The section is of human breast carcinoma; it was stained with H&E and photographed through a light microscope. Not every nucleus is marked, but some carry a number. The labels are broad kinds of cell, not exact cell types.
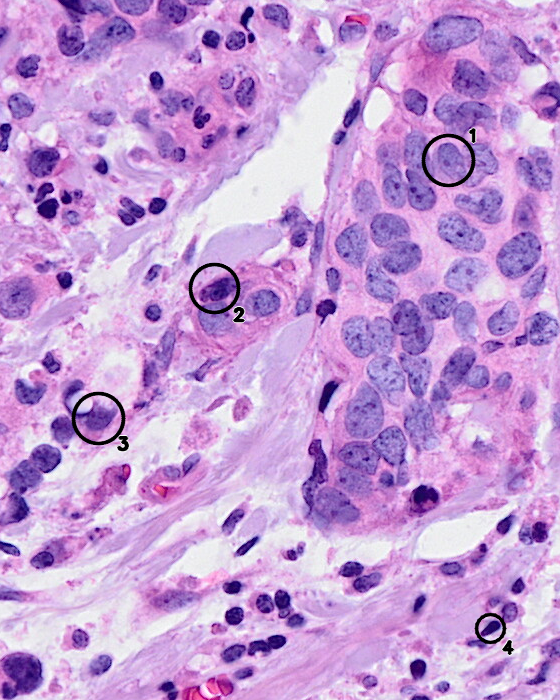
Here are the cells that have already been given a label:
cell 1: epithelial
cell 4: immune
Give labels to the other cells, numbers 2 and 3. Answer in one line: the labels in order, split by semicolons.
epithelial; epithelial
